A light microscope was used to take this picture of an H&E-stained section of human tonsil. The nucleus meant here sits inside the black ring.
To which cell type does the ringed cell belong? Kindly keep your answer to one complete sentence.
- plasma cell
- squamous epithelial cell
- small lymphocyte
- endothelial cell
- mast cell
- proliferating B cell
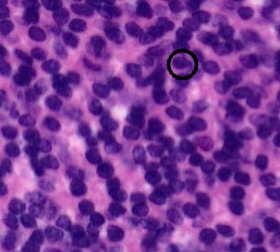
In this field of tissue, the ringed cell is a small lymphocyte.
